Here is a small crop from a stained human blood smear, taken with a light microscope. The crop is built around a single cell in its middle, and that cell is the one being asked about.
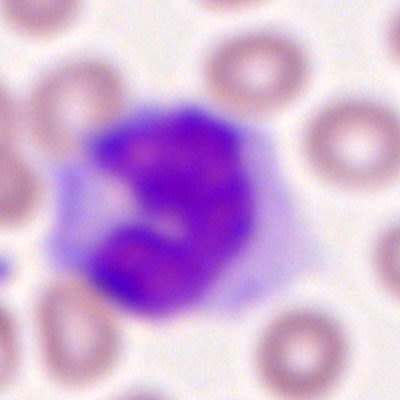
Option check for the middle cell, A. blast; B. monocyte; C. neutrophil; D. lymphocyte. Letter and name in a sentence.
Option B is correct here, and the cell in the middle is a monocyte.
